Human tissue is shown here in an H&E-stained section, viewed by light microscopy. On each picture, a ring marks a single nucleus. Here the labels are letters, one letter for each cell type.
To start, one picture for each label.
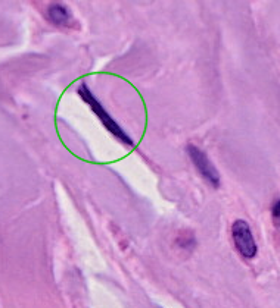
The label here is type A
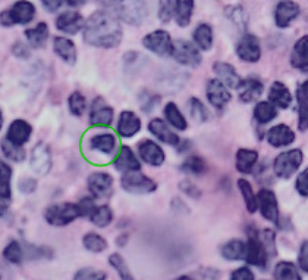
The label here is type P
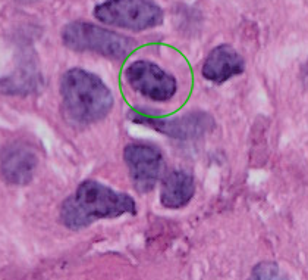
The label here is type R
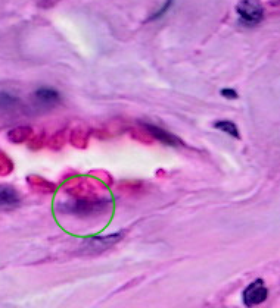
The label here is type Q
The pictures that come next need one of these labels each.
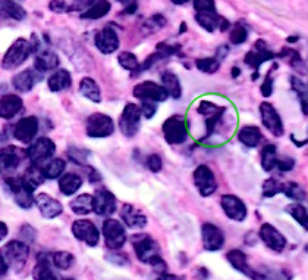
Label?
type P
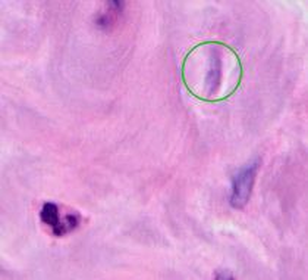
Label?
type A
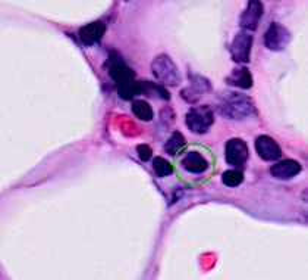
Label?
type P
